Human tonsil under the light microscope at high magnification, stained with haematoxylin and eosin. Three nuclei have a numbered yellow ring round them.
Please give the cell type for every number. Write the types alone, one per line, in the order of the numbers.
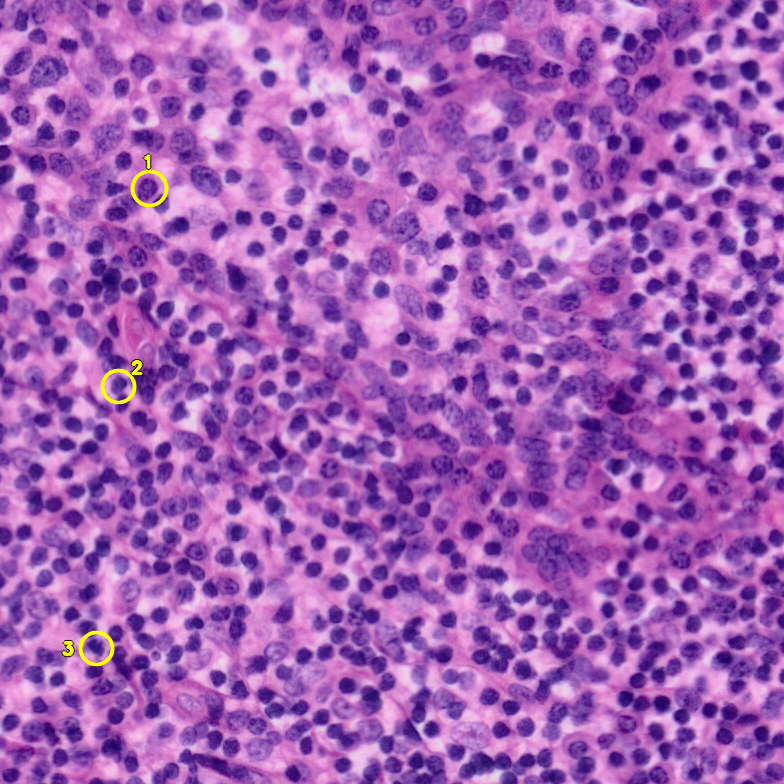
plasma cell
small lymphocyte
small lymphocyte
